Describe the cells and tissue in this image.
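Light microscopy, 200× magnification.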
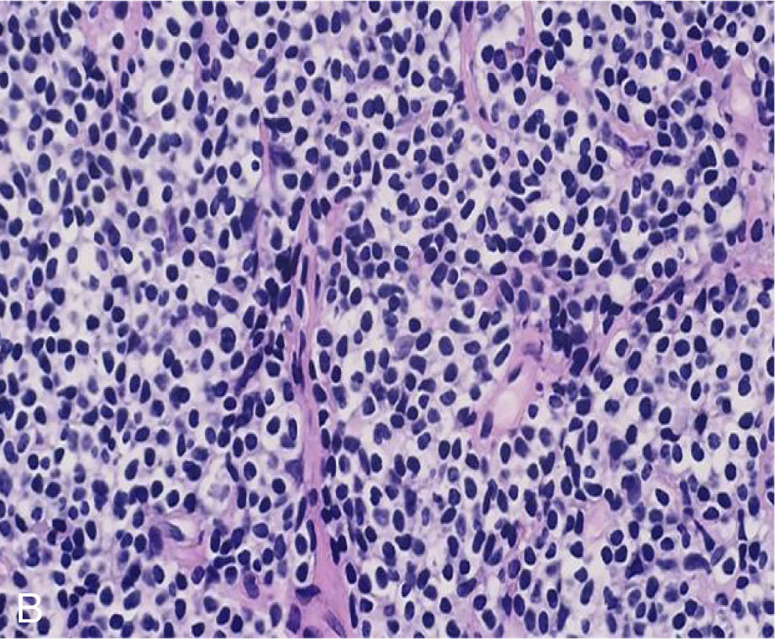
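The cells are closely packed and mononuclear. Their nuclei are round to oval and dark purple, and they are of fairly uniform medium size. Many cells have a pale, clear to bright cytoplasm that forms a light halo around the nucleus. Scattered among these are cells with darker, more irregular or angular nuclei. Thin pink fibrous strands and small vessels run through the sheets and divide them loosely.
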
